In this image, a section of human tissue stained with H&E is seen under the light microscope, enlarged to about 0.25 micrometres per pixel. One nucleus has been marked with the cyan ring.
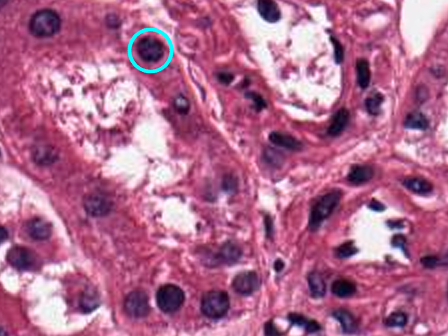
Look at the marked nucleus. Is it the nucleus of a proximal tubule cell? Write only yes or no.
yes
